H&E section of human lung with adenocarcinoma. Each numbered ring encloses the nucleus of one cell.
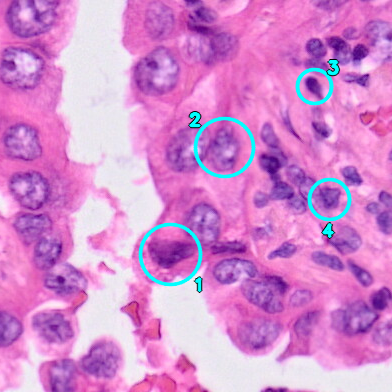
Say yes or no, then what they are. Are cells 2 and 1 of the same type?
Yes, cells 2 and 1 are both carcinoma cells in this section.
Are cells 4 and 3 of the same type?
Yes, each of the two cells, 4 and 3, is among the lymphocytes.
